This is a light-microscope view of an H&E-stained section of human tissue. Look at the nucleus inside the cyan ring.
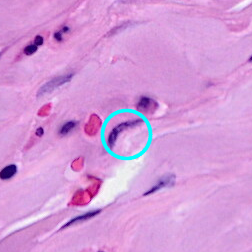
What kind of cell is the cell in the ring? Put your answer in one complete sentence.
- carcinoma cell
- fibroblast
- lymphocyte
The cell in the ring appears to be a fibroblast.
